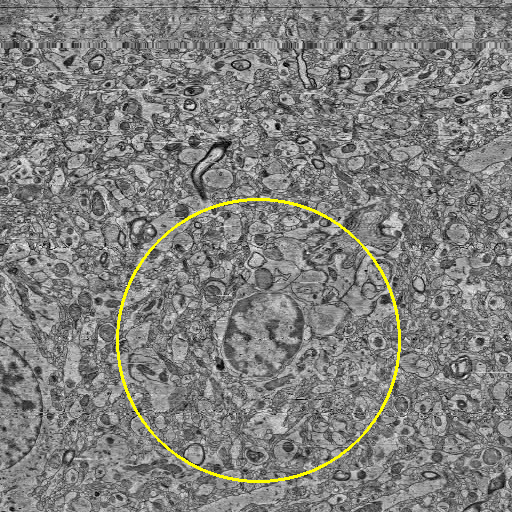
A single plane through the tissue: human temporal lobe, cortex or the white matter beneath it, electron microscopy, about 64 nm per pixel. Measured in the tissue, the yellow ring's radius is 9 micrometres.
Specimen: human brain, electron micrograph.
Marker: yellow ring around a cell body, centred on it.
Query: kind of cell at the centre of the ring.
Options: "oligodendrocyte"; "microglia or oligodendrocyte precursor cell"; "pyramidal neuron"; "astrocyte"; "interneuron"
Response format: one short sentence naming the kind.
This cell body belongs to a microglial cell or oligodendrocyte precursor cell.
